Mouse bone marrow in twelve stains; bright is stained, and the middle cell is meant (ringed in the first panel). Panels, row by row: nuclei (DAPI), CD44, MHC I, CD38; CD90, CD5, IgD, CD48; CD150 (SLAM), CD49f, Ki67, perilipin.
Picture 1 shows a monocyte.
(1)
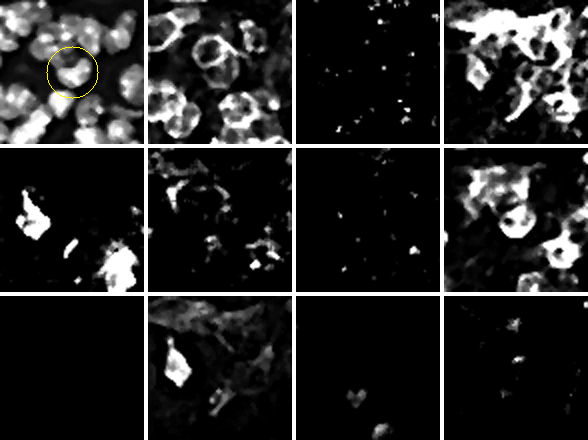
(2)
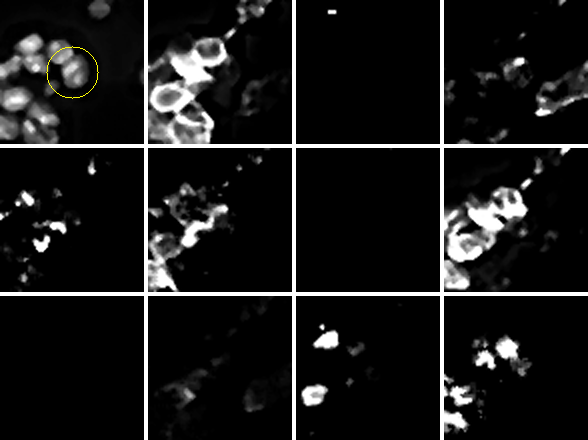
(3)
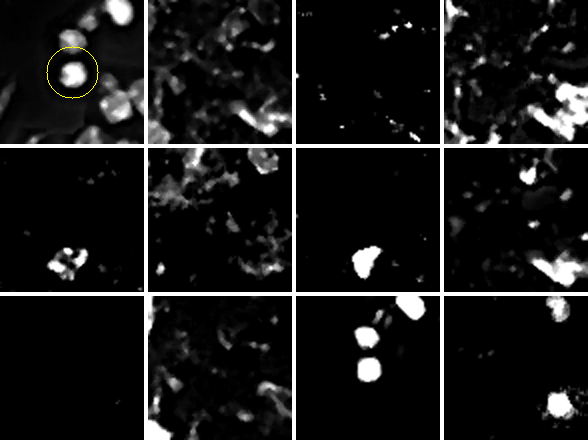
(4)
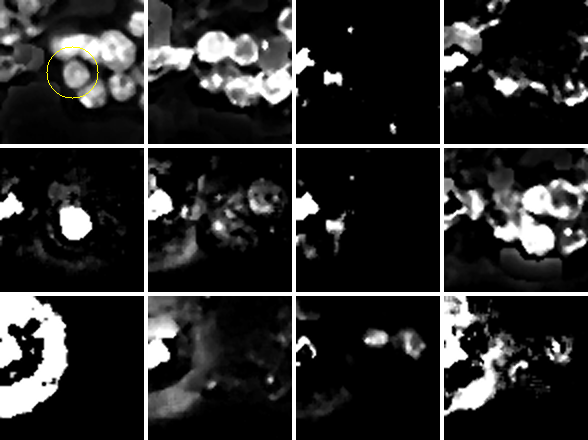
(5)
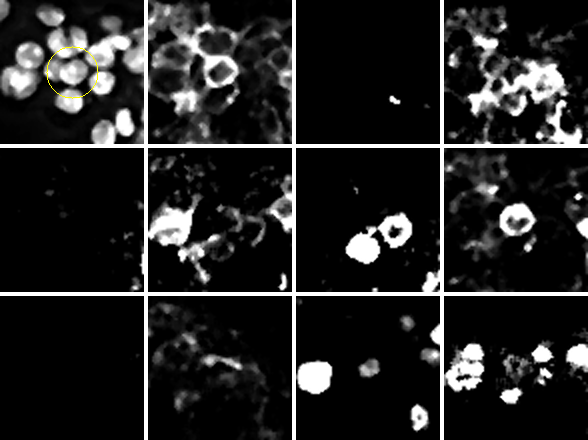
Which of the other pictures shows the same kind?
Picture 5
